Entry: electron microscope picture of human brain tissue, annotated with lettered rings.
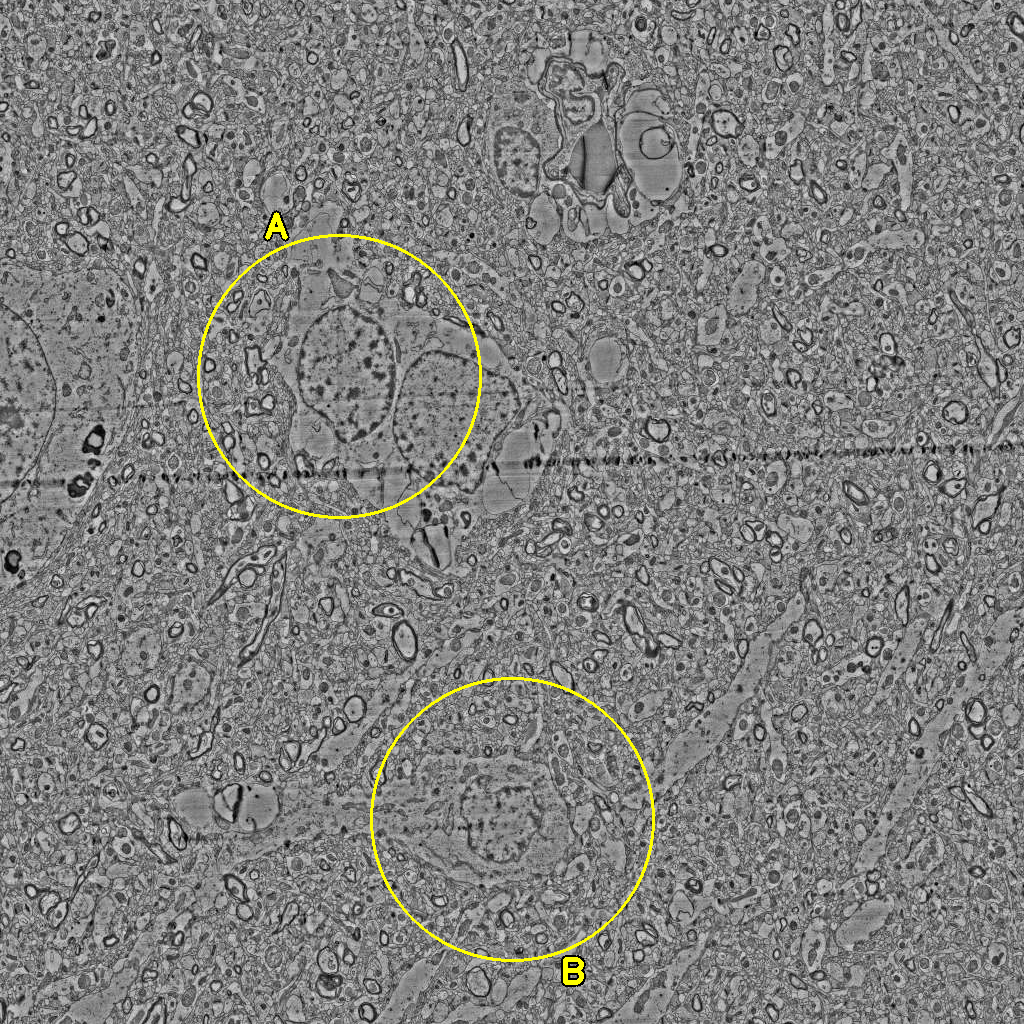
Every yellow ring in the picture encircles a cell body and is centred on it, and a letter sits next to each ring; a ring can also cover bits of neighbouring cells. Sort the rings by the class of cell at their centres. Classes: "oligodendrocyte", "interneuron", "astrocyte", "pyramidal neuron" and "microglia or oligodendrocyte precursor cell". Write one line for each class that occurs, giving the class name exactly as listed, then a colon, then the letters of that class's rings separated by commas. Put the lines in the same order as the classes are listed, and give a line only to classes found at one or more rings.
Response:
interneuron: B
astrocyte: A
